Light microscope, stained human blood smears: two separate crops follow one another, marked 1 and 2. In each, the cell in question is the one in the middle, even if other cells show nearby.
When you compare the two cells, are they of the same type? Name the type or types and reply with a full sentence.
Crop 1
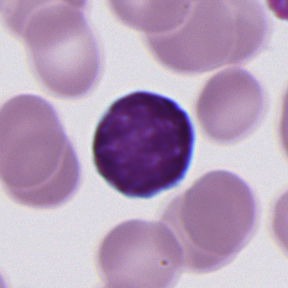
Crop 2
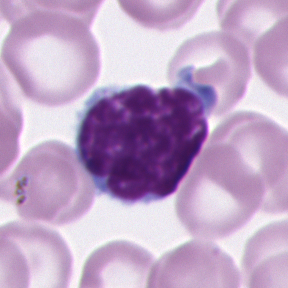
Yes, typical lymphocytes are the cells shown in both crops.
